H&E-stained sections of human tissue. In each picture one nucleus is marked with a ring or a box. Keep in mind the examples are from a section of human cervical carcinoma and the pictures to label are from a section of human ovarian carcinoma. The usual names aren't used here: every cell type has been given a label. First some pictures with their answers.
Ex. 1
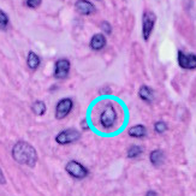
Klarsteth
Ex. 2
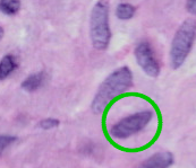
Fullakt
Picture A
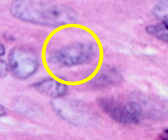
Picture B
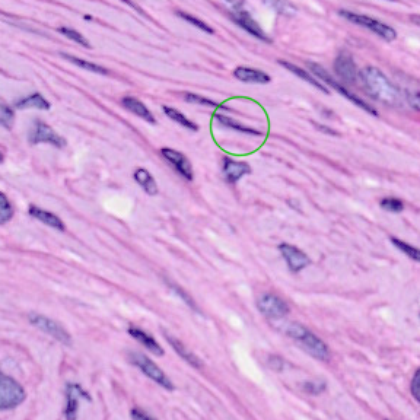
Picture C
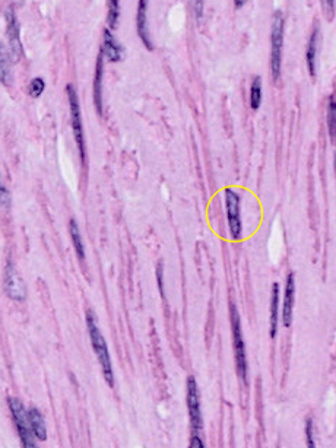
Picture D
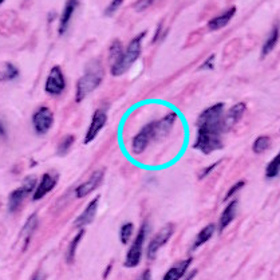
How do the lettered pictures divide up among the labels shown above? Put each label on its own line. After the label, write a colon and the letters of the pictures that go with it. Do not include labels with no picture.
Klarsteth: D
Fullakt: A, B, C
